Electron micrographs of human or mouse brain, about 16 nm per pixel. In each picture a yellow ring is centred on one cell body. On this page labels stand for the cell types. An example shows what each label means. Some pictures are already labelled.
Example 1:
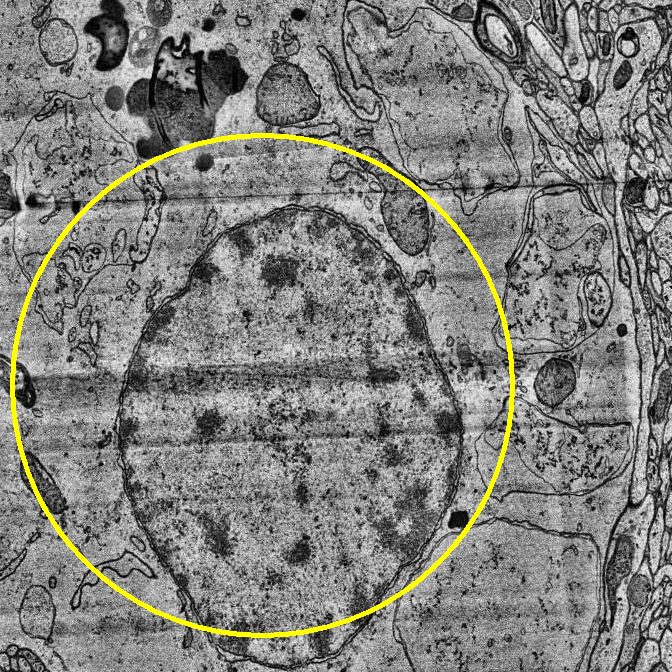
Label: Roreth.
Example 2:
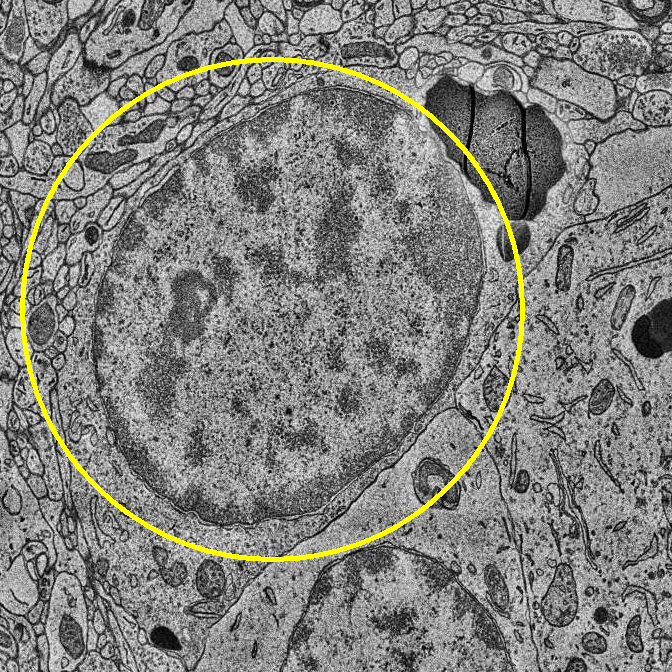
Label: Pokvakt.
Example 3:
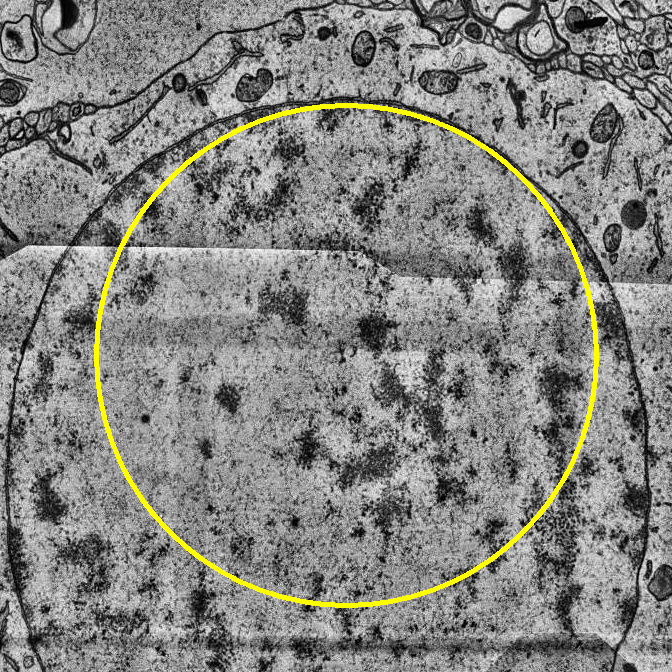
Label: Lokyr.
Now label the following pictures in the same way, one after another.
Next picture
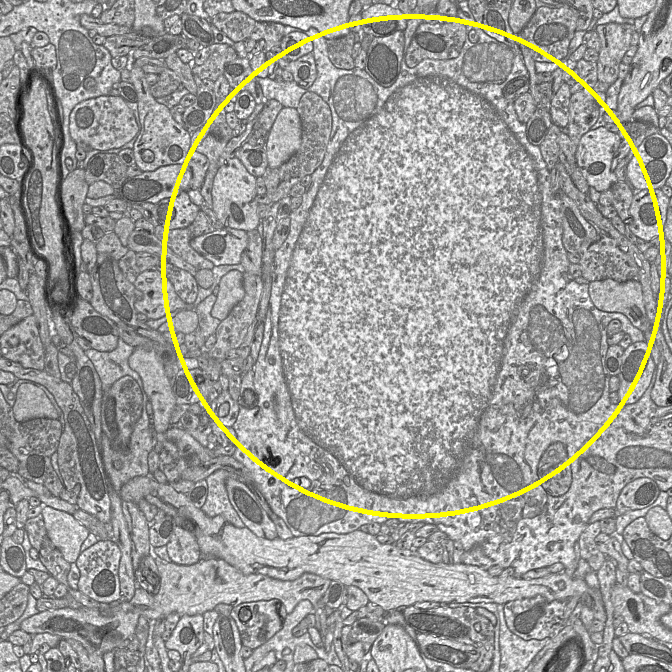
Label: Roreth.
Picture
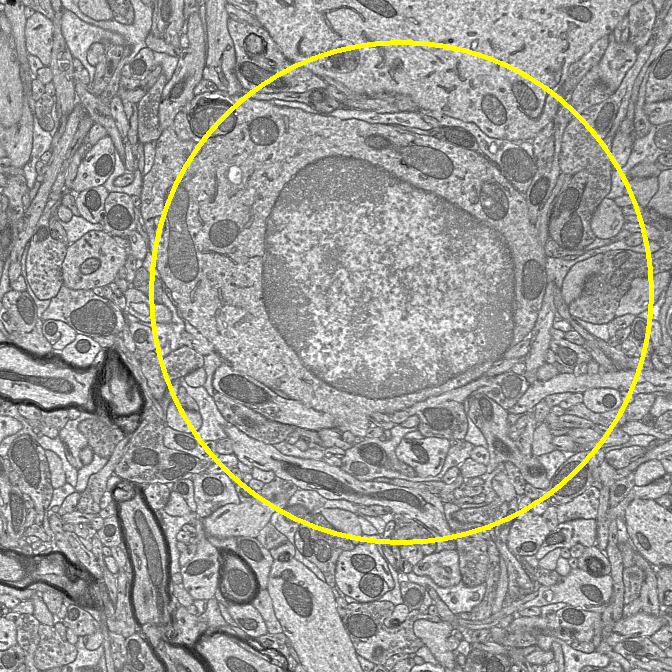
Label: Pokvakt.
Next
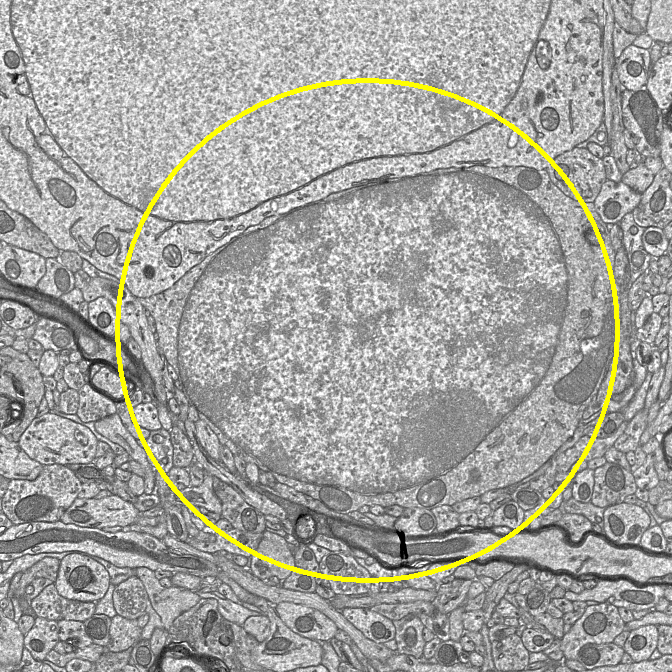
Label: Pokvakt.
